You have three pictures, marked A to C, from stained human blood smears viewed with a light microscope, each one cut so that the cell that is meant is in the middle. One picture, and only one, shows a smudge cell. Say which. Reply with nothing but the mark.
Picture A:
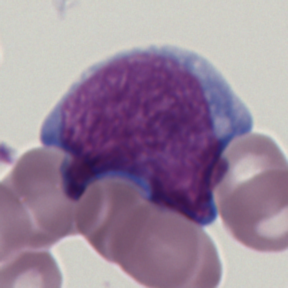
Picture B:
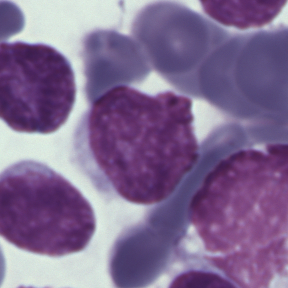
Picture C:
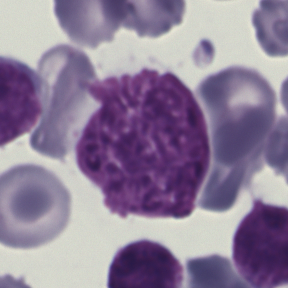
C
